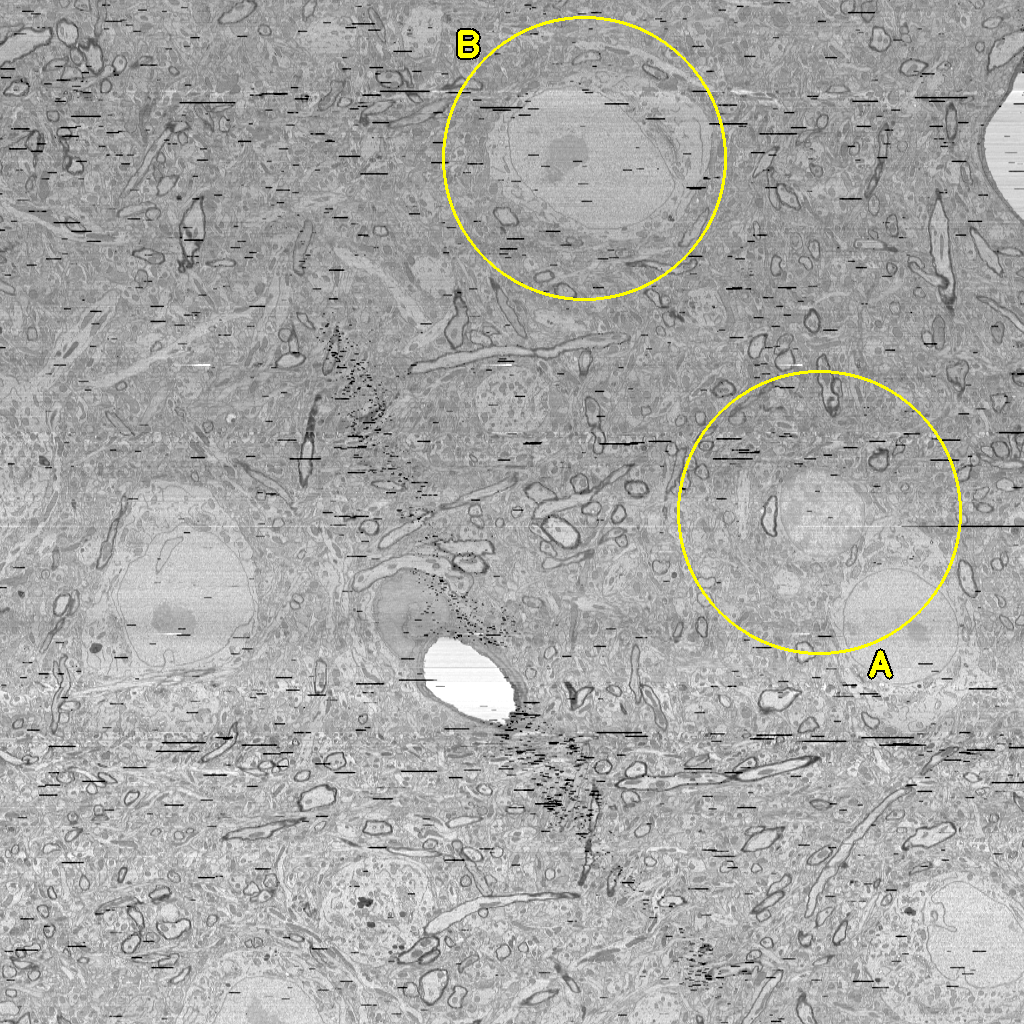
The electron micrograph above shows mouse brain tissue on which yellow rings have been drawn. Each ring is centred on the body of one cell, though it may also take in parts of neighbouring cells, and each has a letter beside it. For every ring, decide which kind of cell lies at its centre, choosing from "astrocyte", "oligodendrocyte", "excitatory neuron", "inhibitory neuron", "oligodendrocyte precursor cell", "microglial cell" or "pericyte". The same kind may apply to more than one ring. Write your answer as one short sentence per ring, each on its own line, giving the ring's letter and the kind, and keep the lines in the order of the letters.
Ring A is centred on an oligodendrocyte.
Ring B is centred on an excitatory neuron.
